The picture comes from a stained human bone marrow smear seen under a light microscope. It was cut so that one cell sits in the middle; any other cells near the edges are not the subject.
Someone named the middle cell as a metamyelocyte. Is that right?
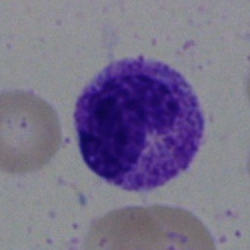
yes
